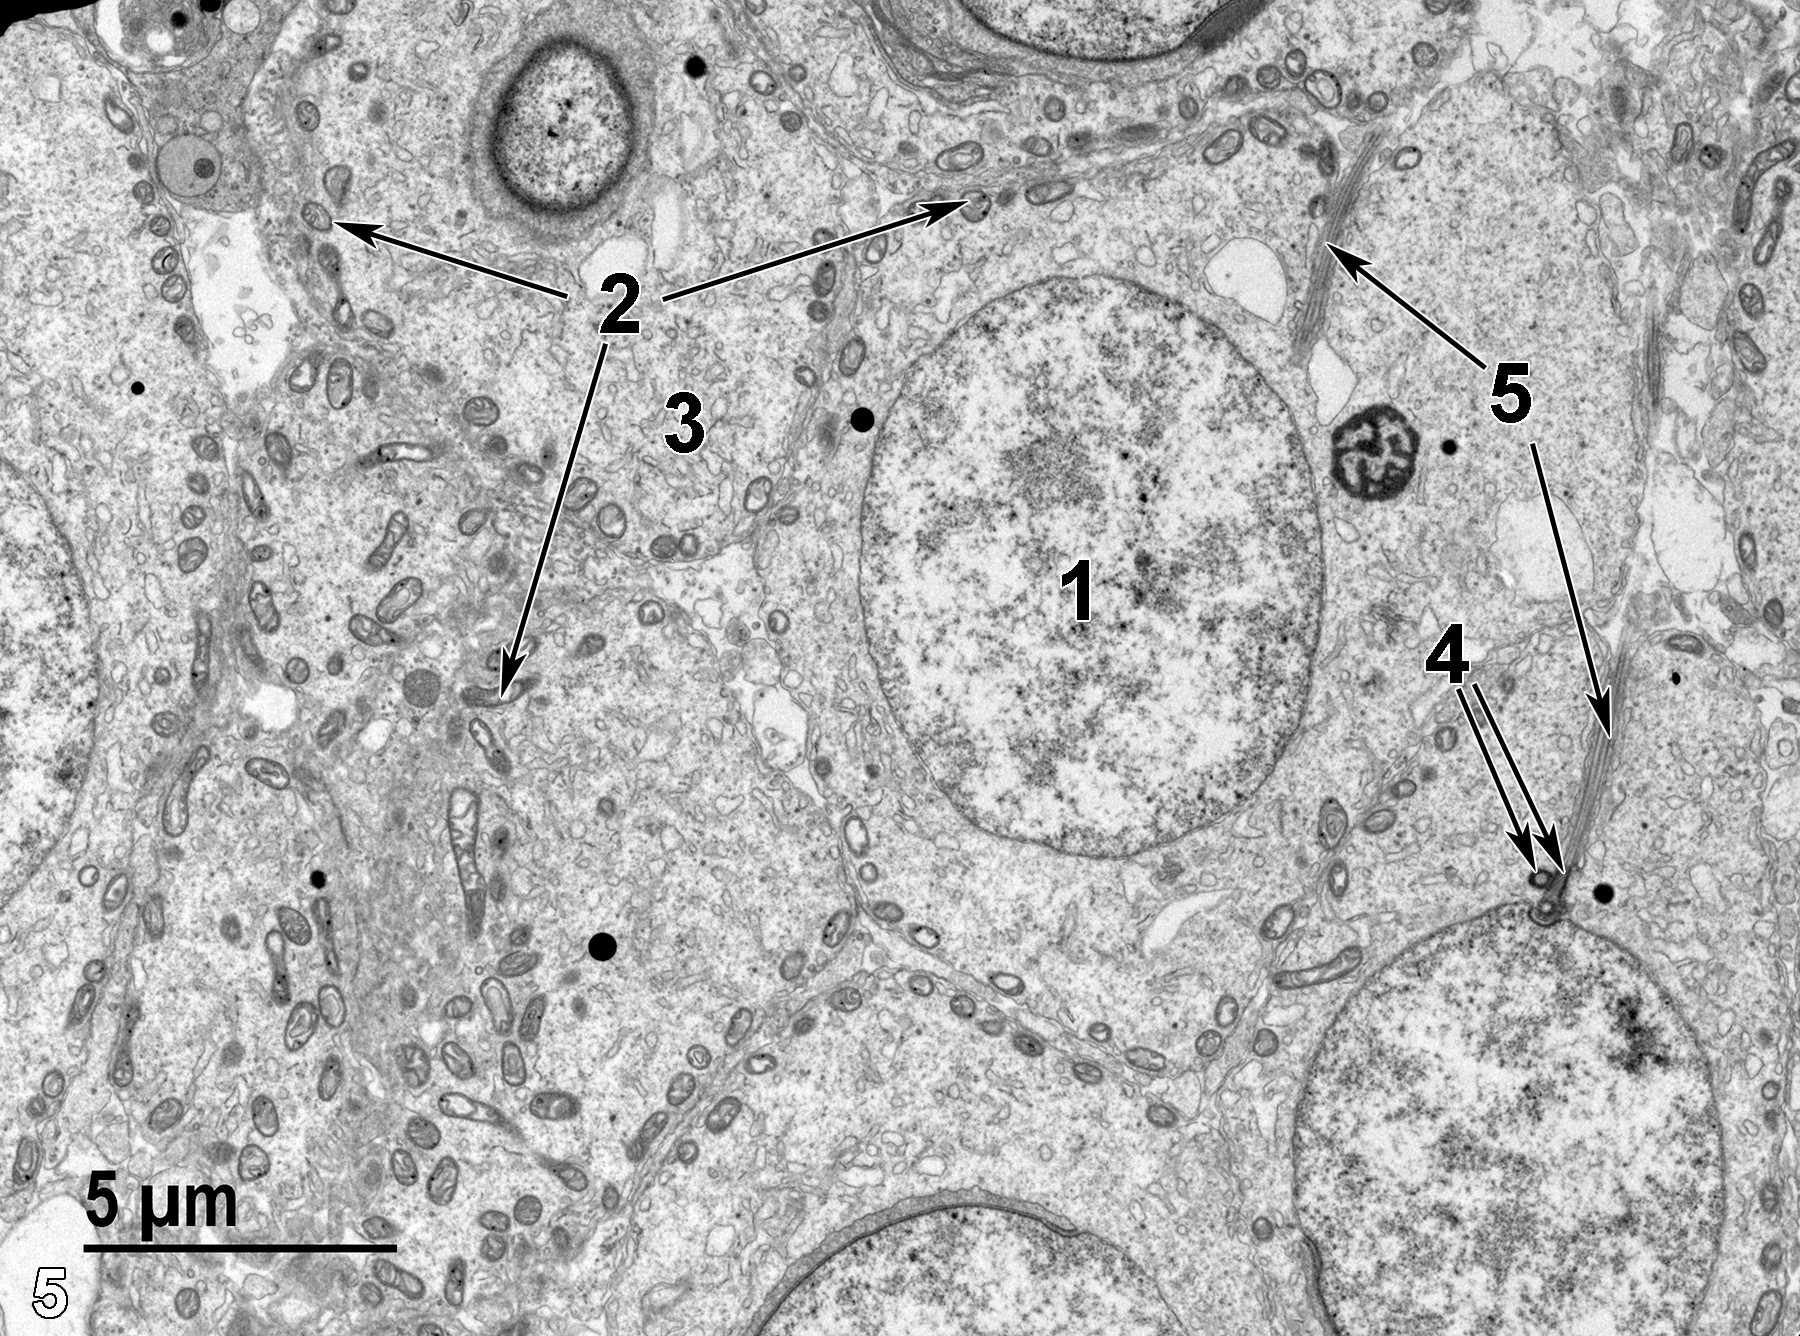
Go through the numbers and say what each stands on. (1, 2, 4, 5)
1 - nuclei
2 - mitochondria
4 - centrioles
5 - axonemes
